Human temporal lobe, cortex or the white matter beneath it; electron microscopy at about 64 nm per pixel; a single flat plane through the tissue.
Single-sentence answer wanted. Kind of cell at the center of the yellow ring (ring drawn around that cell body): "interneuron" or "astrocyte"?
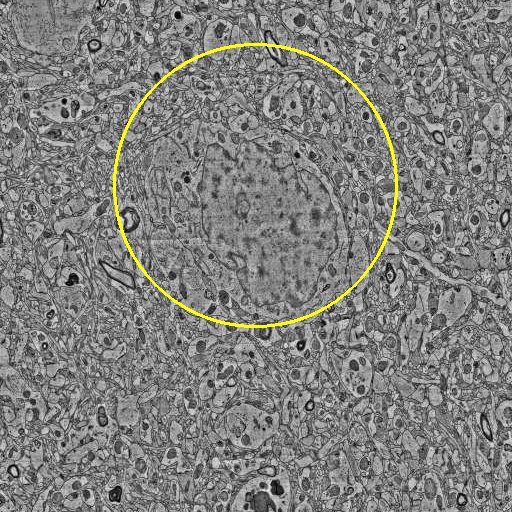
The cell centered in the ring is an interneuron.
